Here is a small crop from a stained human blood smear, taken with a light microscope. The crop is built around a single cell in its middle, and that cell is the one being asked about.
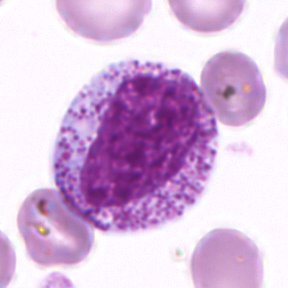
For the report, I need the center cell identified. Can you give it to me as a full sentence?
By type, the central cell of the crop is a myelocyte.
